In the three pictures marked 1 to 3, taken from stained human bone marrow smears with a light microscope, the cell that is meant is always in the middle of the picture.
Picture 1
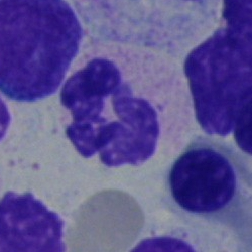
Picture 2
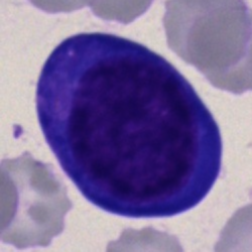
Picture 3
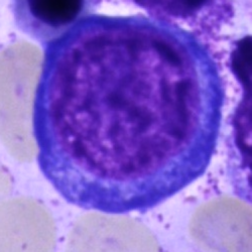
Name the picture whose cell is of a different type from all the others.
1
